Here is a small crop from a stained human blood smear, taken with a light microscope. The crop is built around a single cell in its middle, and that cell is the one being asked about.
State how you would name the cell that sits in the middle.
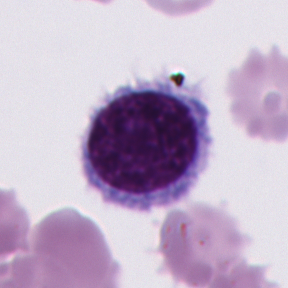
hairy cell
